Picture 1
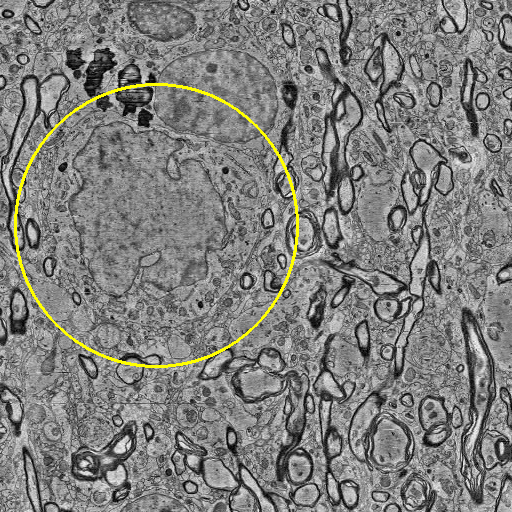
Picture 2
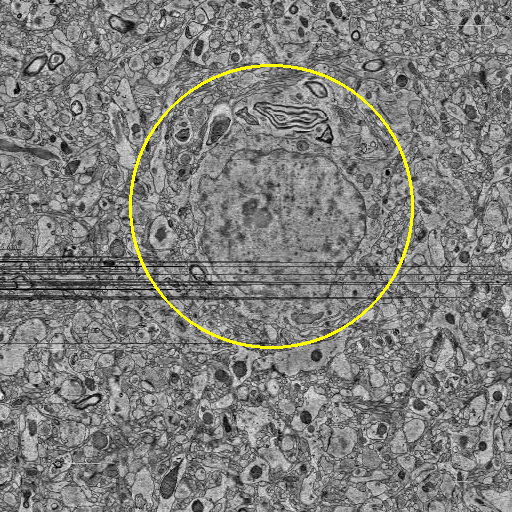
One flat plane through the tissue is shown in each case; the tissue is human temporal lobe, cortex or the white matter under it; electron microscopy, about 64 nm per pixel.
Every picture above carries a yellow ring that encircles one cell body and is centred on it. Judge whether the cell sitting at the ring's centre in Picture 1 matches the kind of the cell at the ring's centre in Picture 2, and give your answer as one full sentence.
Yes, the cells centred in the rings of Pictures 1 and 2 belong to one kind.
